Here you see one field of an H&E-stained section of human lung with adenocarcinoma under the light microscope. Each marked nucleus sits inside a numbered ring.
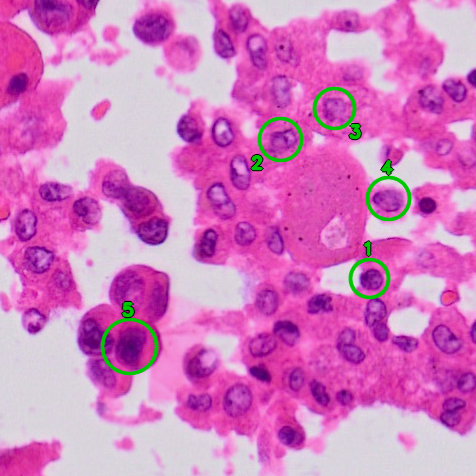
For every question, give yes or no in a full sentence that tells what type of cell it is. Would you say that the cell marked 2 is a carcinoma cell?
No, the cell given number 2 is a macrophage or monocyte, not a carcinoma cell.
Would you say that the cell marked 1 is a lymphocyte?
Yes, the cell pointed out as number 1 is a lymphocyte.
